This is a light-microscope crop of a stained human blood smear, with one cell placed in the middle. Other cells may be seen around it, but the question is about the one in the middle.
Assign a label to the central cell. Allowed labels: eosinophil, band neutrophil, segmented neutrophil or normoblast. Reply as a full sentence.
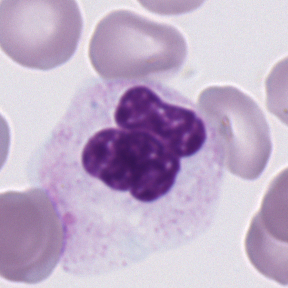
The cell nearest the centre of this crop is a segmented neutrophil.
